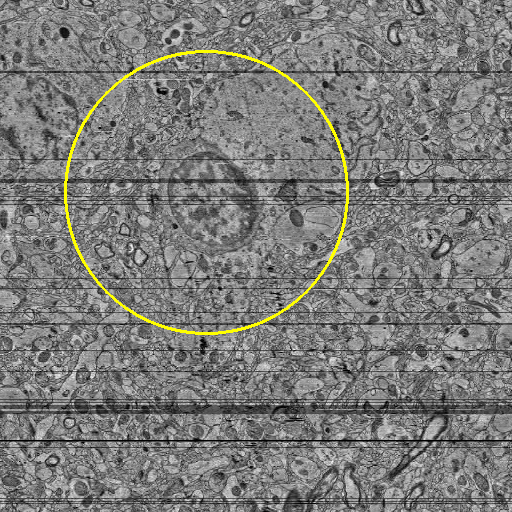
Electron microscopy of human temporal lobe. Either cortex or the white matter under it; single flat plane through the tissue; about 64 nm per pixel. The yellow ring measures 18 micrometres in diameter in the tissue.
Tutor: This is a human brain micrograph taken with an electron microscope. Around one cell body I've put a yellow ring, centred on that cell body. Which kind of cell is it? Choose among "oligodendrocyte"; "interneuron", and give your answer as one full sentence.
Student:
Going by your list, the cell centred in the yellow ring is an oligodendrocyte.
